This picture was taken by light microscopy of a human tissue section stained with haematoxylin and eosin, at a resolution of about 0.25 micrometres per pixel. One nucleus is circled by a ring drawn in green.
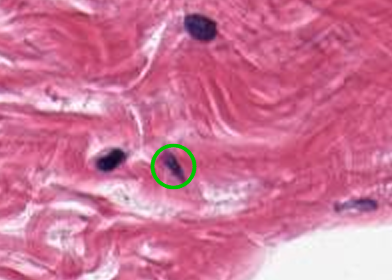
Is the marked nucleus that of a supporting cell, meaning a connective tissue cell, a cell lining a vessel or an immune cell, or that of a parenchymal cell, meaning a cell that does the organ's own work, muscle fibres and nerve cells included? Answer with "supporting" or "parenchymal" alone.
supporting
